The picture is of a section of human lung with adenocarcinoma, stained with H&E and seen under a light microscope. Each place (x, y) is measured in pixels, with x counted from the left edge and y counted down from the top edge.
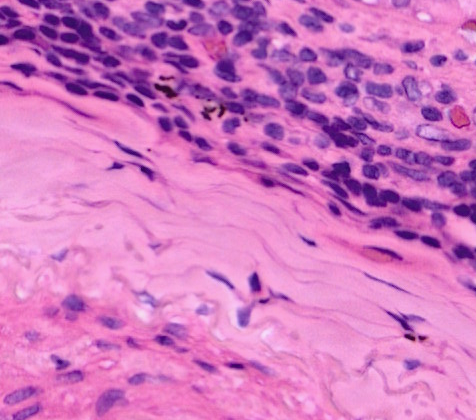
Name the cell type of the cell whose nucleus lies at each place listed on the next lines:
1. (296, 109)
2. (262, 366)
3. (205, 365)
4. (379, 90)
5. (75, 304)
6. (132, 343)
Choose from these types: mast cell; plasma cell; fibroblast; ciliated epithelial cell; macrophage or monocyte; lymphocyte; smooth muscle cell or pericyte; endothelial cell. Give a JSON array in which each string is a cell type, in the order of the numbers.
["lymphocyte", "smooth muscle cell or pericyte", "smooth muscle cell or pericyte", "lymphocyte", "smooth muscle cell or pericyte", "smooth muscle cell or pericyte"]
